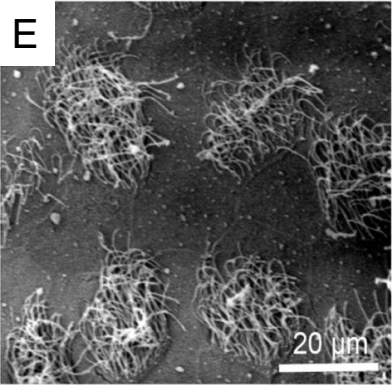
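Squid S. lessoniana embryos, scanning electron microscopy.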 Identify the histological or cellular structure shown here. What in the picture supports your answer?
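Tufts of long thin hair-like projections rise from the surface. The tufts form separate clusters with bare surface between them.
Hence: cilia.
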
